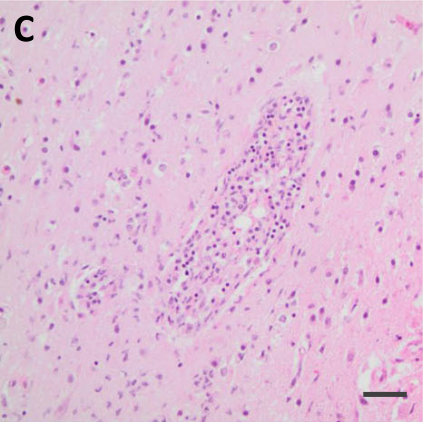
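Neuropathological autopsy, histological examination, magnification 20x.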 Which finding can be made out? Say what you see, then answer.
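A blood vessel in the centre is surrounded by a dense cuff of small round dark nuclei. Scattered small round nuclei also lie in the surrounding pink tissue.
Hence: perivascular and intraparenchymal lymphocyte infiltration.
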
